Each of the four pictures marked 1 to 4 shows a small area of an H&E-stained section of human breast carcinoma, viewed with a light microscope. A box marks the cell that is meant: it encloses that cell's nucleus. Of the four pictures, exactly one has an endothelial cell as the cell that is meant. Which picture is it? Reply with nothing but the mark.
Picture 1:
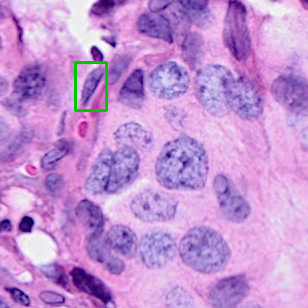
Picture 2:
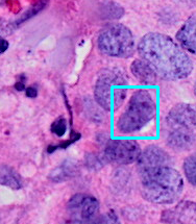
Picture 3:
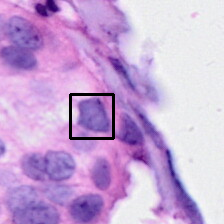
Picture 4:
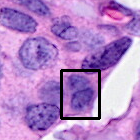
1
